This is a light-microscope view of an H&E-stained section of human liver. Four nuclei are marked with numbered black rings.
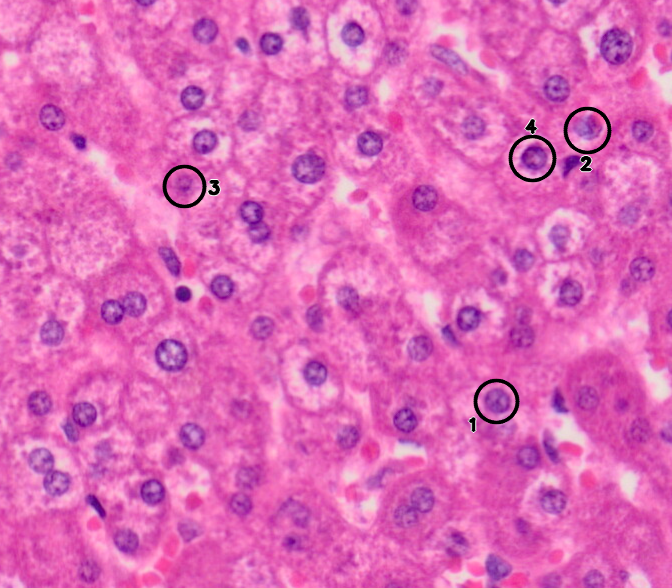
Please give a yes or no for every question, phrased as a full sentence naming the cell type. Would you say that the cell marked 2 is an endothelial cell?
Yes, as for number 2, the cell is an endothelial cell.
